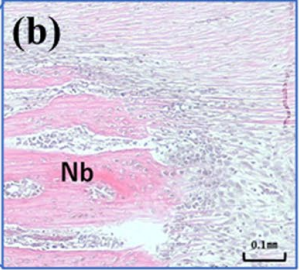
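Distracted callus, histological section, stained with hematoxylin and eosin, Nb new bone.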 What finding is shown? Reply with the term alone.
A: Intramembranous ossification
